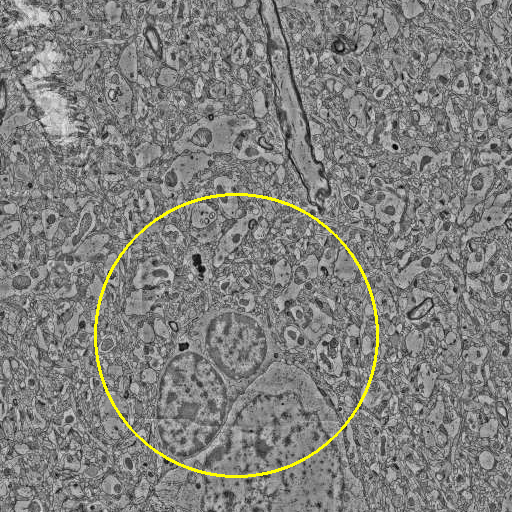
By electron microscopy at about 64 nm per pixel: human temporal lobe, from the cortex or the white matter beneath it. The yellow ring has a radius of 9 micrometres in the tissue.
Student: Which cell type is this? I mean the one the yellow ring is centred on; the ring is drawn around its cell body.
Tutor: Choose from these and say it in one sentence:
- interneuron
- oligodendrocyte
The cell the ring is centred on is an oligodendrocyte.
